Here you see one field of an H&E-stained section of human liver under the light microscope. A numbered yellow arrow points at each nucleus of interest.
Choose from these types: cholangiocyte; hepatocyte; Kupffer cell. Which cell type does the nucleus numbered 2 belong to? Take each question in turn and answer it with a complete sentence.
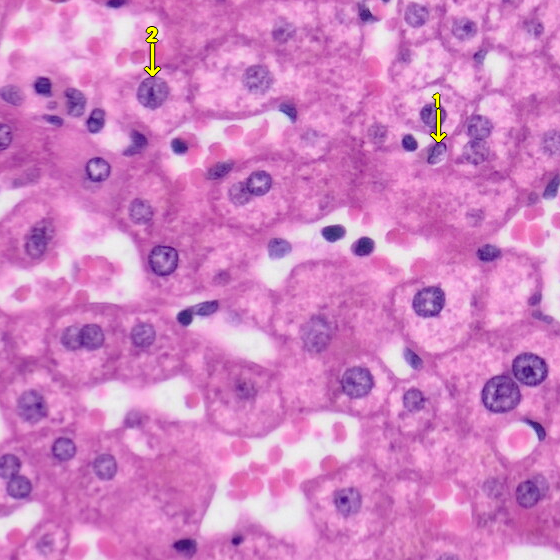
Number 2 is placed on a hepatocyte here.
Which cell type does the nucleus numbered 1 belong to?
As for number 1, that cell is a Kupffer cell.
